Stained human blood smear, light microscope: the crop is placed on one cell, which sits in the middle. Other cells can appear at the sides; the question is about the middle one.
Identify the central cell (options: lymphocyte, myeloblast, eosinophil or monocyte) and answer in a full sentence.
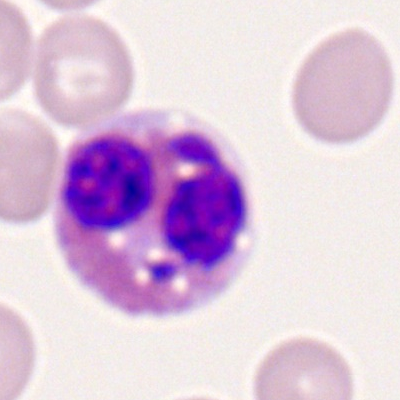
Where the crop is centred, there is an eosinophil.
